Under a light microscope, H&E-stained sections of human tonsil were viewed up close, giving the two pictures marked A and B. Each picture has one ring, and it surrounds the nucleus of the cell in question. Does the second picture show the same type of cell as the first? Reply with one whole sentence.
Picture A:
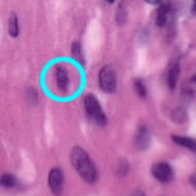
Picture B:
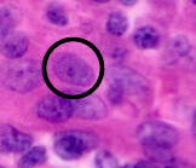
No; the cell in picture A is a squamous epithelial cell, while the one in picture B is an endothelial cell.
